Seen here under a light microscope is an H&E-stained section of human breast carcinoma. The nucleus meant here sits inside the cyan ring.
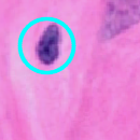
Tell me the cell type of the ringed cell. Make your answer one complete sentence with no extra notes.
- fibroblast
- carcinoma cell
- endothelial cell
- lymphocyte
Histopathologically, the ringed cell is a lymphocyte.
